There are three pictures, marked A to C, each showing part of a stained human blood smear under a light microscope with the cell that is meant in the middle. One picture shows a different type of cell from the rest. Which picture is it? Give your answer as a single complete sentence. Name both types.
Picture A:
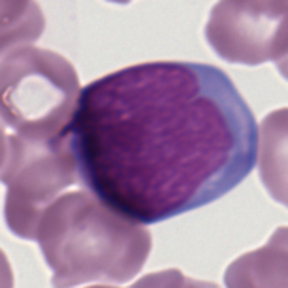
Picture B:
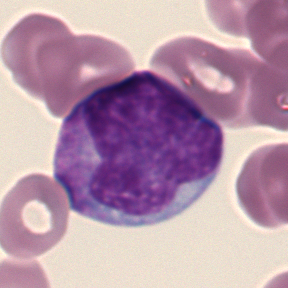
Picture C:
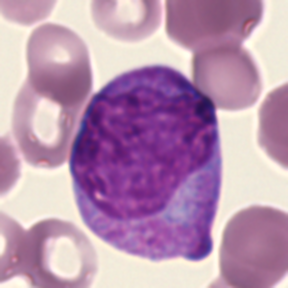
Picture A differs, because its cell is a myeloblast and the rest are atypical promyelocytes.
